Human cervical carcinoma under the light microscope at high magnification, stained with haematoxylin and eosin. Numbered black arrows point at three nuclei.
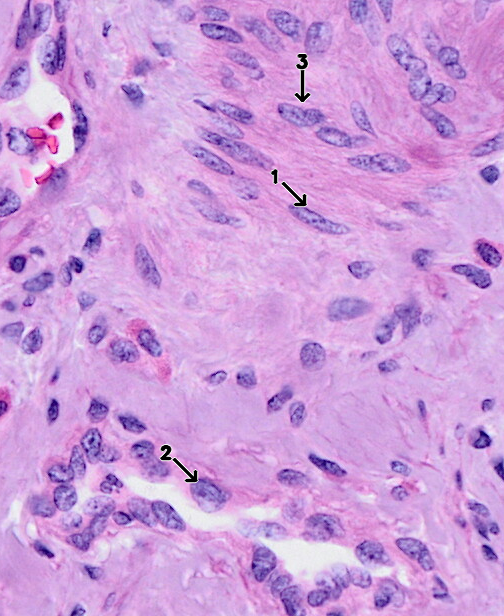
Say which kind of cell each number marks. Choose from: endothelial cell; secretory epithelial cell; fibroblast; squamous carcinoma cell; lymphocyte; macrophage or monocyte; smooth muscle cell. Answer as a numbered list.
1. smooth muscle cell
2. endothelial cell
3. smooth muscle cell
